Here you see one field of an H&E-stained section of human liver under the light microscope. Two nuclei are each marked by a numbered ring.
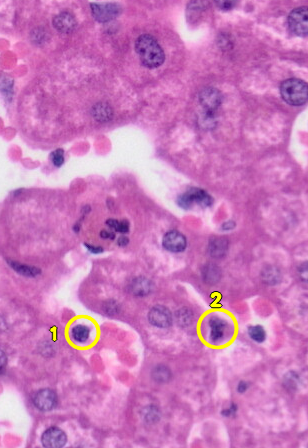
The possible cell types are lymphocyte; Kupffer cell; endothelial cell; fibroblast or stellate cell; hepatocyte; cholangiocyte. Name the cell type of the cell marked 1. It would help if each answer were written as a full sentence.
Number 1 among the marked cells is a lymphocyte.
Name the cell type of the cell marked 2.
Belonging to a Kupffer cell is the nucleus that carries the number 2.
